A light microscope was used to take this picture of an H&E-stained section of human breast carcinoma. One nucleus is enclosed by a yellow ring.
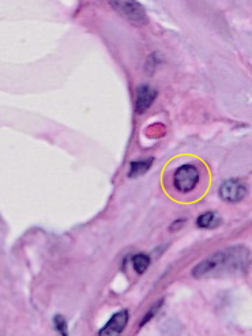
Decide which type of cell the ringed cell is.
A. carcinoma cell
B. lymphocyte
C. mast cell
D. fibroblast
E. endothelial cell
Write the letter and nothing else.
C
